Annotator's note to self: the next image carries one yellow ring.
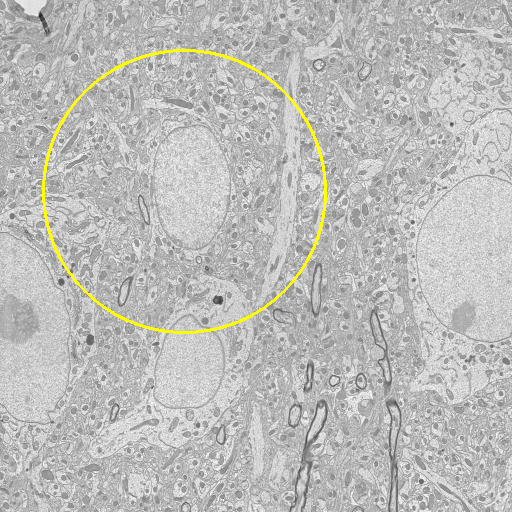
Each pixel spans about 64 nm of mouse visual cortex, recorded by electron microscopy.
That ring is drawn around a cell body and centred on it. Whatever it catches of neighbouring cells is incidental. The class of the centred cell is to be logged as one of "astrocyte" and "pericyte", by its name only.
astrocyte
